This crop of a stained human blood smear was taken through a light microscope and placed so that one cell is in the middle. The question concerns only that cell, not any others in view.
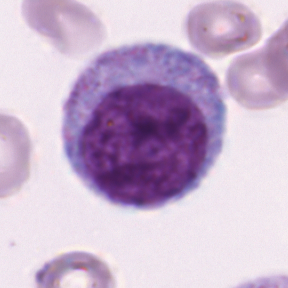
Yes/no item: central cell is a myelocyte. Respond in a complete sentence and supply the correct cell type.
Yes, the cell in the middle of the crop is a myelocyte.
